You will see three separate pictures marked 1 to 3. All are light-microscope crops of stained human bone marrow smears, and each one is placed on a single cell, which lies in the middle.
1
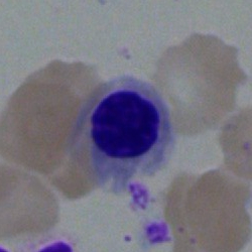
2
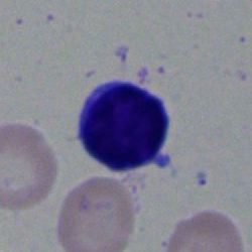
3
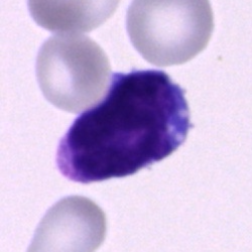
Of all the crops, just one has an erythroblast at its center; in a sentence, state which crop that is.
The crop marked 1 is the one in which an erythroblast is shown.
